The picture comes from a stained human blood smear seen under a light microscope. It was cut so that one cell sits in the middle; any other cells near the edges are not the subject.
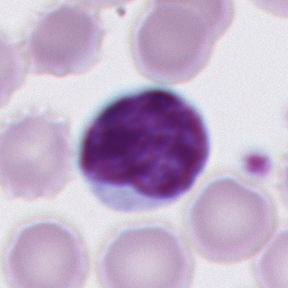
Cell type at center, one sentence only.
In the central position of this crop, the cell is a lymphocyte.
